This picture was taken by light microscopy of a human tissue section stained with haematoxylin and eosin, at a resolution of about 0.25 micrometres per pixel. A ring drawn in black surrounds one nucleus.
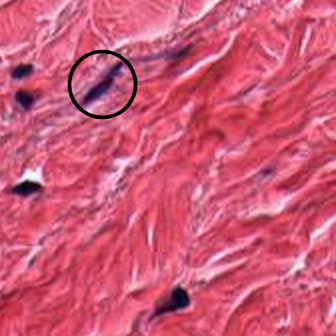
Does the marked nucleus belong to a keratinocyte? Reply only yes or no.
no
